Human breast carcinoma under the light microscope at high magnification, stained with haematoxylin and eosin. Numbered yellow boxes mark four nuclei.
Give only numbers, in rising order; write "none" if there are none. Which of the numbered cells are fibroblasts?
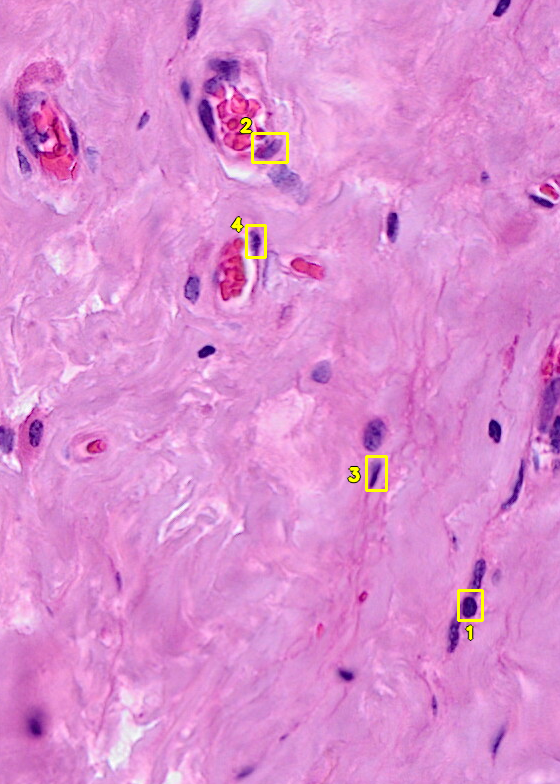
3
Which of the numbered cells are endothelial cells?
2, 4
